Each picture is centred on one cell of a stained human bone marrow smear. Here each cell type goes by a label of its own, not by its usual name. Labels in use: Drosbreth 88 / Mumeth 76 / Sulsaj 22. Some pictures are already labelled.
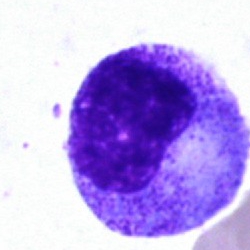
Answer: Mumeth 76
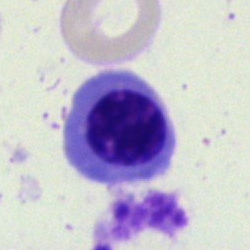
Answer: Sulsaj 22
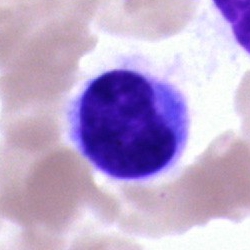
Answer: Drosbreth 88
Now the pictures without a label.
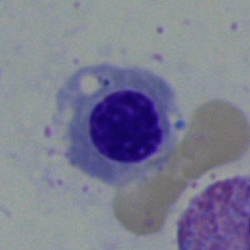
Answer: Sulsaj 22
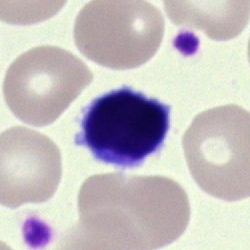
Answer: Drosbreth 88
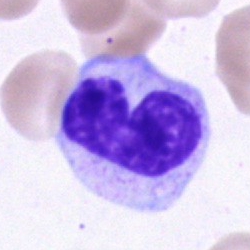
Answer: Mumeth 76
